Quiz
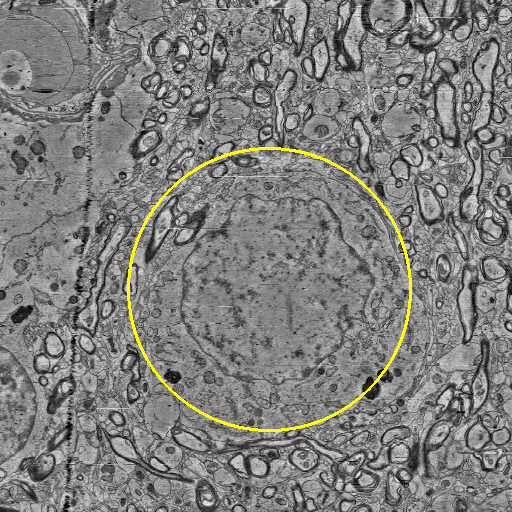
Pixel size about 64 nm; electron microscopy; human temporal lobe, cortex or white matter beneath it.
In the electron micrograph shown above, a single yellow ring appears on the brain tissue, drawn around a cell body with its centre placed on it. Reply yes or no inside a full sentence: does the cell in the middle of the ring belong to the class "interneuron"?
Yes, the cell at the centre of the ring in the picture belongs to that class.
